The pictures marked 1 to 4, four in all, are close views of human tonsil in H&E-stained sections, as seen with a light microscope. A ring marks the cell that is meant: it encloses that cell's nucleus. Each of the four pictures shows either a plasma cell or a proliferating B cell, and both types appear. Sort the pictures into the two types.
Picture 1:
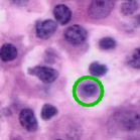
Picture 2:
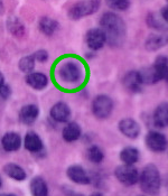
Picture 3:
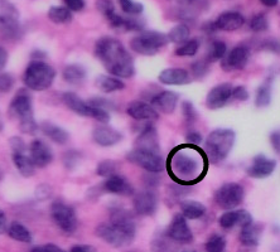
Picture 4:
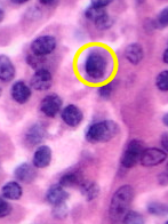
1: plasma cell
2: plasma cell
3: proliferating B cell
4: plasma cell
